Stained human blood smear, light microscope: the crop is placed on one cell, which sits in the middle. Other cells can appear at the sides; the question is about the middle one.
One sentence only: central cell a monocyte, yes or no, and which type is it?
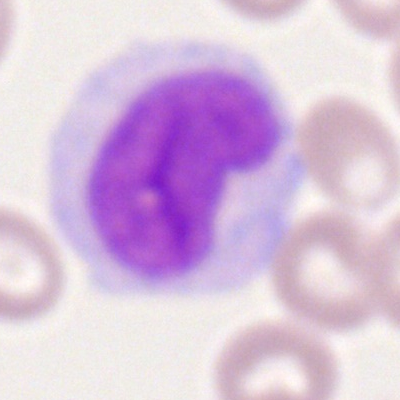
Yes, the cell that the crop is centered on is a monocyte.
